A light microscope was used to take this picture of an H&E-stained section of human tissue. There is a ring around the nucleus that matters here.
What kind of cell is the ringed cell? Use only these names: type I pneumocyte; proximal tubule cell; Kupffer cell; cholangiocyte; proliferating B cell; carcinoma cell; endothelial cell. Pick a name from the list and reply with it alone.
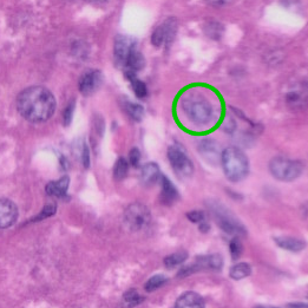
cholangiocyte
